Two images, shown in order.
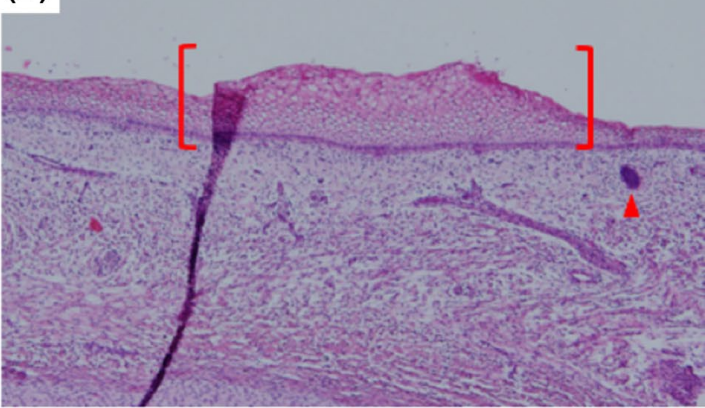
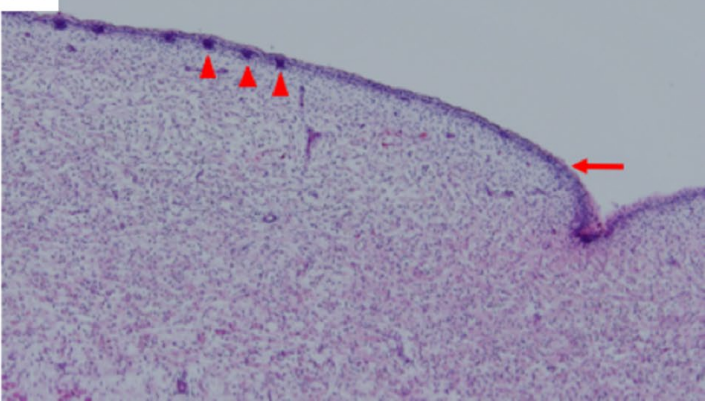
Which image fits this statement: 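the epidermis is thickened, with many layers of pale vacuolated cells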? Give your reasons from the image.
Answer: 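Second image: the surface is covered by a thin, dark line of cells only a few cells deep. First image: the surface is covered by a broad, pale layer of many rows of clear, bubbly cells.
Answer: the first image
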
